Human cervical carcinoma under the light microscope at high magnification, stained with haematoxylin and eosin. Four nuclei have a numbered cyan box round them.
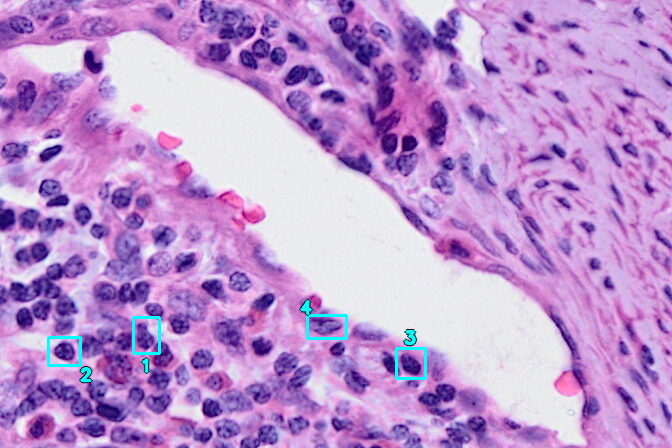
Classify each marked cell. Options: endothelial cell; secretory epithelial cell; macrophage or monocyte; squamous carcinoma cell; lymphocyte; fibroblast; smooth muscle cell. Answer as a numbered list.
1. lymphocyte
2. lymphocyte
3. lymphocyte
4. endothelial cell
